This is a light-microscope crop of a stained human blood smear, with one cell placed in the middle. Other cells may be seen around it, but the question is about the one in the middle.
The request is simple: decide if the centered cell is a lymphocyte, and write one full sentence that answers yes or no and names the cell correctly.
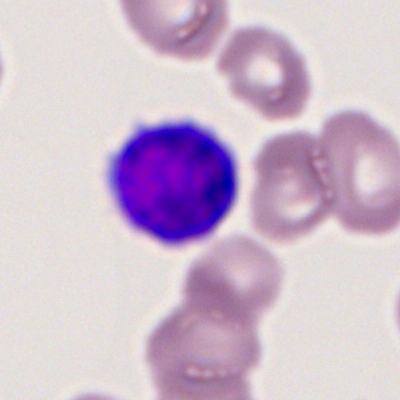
Yes, the cell found in the center of the crop is a lymphocyte.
